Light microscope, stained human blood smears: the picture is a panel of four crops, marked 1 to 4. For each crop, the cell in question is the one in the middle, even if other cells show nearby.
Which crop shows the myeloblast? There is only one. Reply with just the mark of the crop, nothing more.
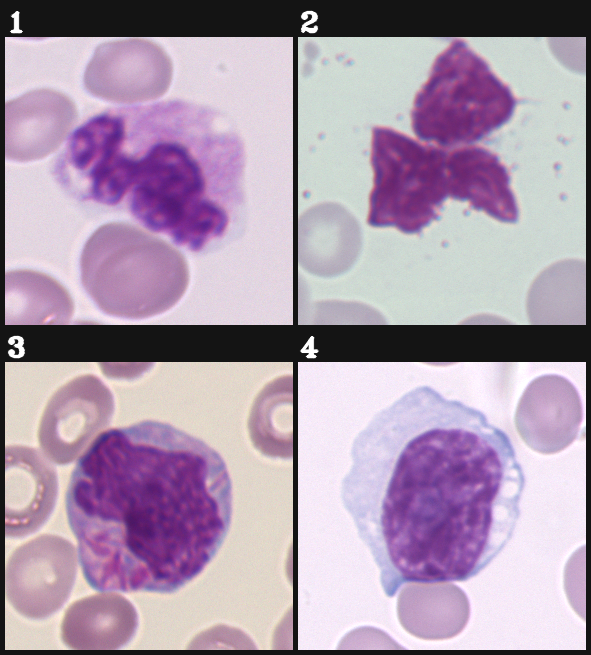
4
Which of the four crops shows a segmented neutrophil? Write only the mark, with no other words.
1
